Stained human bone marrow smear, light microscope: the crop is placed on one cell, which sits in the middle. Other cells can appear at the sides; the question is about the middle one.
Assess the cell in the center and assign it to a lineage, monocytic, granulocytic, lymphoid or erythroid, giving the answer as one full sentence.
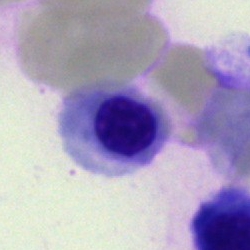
The centered cell should be recorded as belonging to the erythroid lineage.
